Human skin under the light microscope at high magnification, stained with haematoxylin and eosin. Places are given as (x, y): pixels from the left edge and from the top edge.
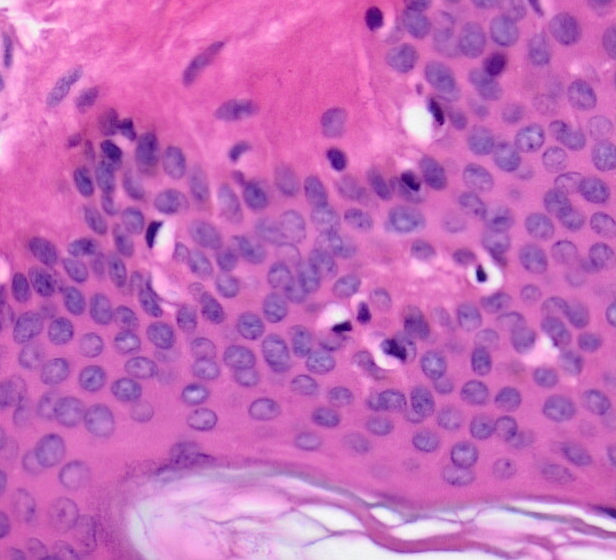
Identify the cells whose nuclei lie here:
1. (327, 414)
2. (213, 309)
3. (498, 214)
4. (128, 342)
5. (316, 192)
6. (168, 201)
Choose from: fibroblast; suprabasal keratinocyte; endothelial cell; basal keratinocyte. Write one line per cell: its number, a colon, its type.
1: suprabasal keratinocyte
2: basal keratinocyte
3: suprabasal keratinocyte
4: suprabasal keratinocyte
5: basal keratinocyte
6: basal keratinocyte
